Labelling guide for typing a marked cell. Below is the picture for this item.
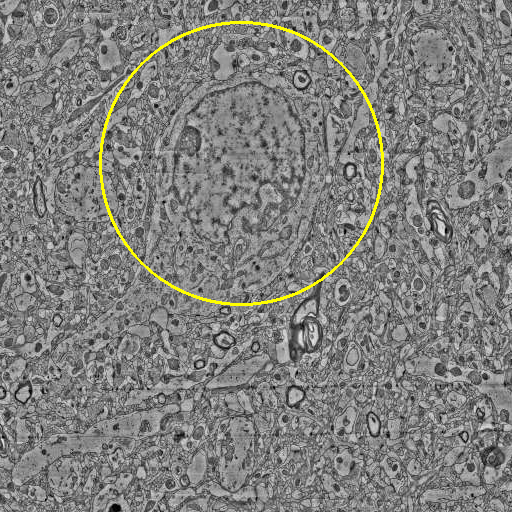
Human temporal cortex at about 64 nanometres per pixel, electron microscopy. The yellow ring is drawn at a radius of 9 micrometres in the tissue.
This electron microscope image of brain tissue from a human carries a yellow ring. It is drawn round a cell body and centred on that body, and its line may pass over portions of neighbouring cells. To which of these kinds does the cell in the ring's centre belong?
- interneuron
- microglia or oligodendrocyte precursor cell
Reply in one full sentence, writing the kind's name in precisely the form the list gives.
Here we have an interneuron at the centre of the yellow ring in the picture.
